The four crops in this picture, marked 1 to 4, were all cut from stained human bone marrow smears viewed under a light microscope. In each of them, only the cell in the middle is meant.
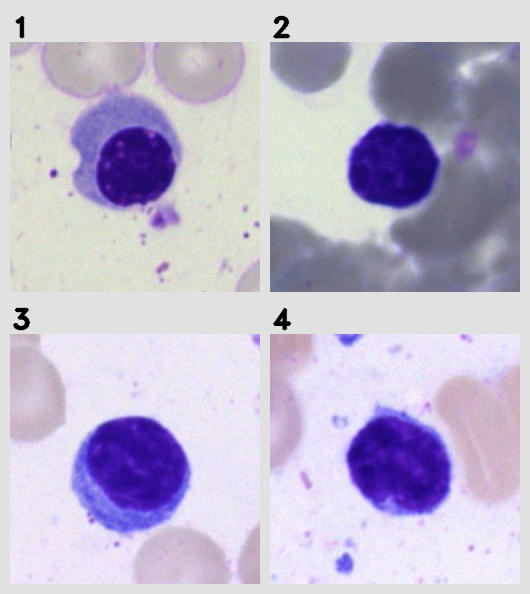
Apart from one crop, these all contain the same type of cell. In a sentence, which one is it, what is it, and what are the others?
Crop 1 does not fit, being a normoblast where all the others show lymphocytes.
